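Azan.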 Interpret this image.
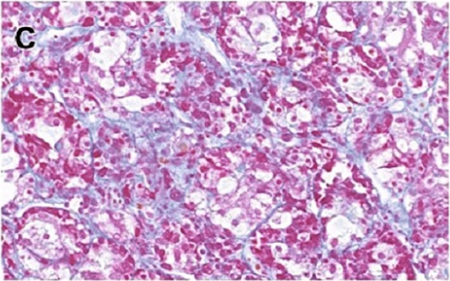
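Pituitary gland tissue in which groups of epithelial cells are outlined by blue-stained fibrous strands. Within the nests many cells have intensely red cytoplasm, while others are pale, nearly clear, with only faint pink tint. Nuclei are small, round and dark red to purple. The blue connective tissue forms a fine network around rounded clusters of cells, highlighting a nested, acinar-like arrangement. Some rounded spaces contain pale material. The mixture of strongly red and pale cells side by side gives a patchy, heterogeneous appearance to the glandular tissue.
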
